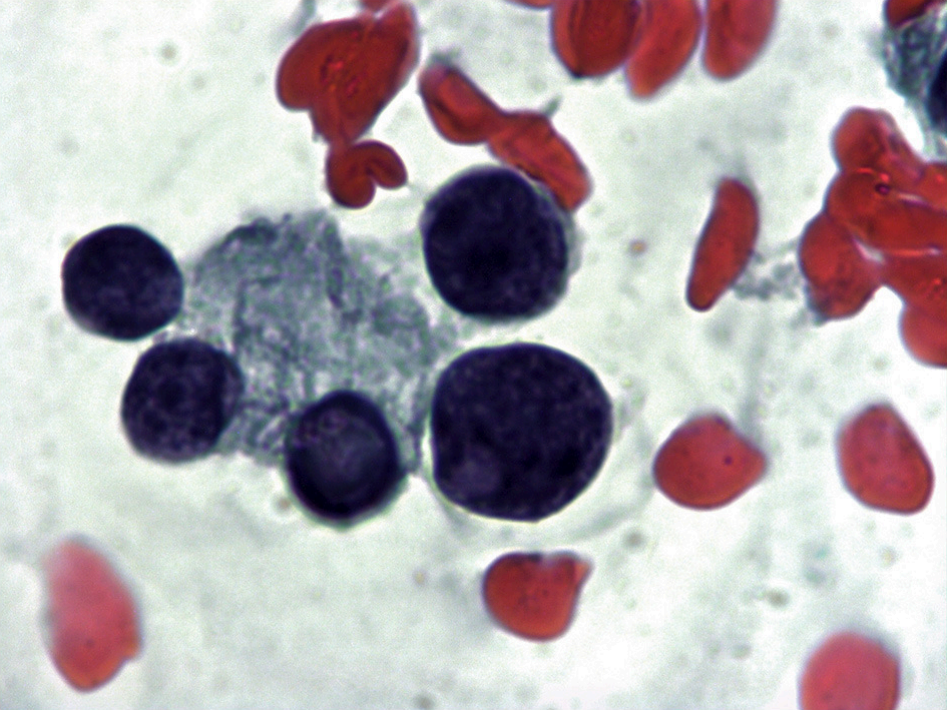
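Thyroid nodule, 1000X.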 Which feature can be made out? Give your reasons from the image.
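Five round dark-blue nuclei lie close together in a small cluster. The nuclei are grouped around a shared patch of pale greyish granular cytoplasm. On this evidence: follicle.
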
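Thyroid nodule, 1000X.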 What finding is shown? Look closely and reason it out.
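Hematic background. Many orange-red red blood cells lie around the cell cluster. Some red cells are folded or overlap in the upper right.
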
